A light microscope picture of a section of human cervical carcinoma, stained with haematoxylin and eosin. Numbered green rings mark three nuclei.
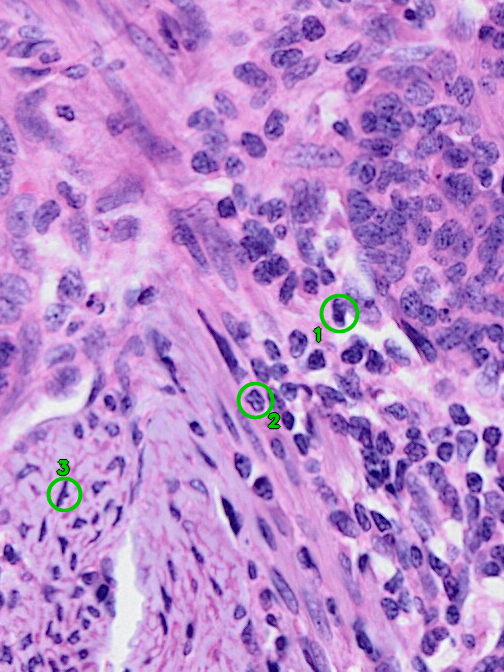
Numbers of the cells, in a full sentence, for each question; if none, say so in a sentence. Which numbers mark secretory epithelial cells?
No numbered nucleus belongs to one of the secretory epithelial cells.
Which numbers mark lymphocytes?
The cells labelled 1 and 2 in this section are lymphocytes.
